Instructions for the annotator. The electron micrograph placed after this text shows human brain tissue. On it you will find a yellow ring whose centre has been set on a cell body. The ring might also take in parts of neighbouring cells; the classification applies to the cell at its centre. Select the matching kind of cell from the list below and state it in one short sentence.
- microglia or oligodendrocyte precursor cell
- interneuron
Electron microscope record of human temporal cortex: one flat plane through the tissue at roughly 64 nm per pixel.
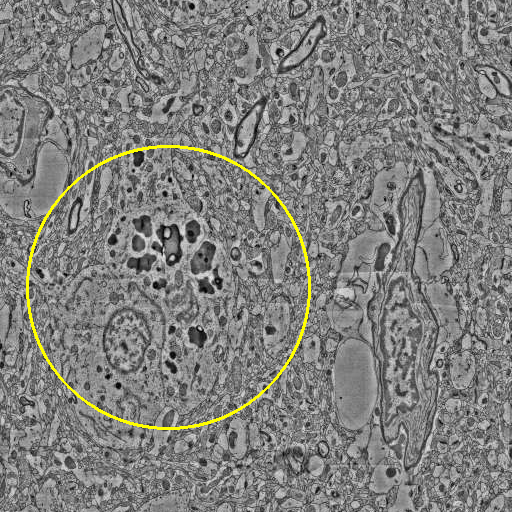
The ring is drawn on the cell body of an interneuron.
